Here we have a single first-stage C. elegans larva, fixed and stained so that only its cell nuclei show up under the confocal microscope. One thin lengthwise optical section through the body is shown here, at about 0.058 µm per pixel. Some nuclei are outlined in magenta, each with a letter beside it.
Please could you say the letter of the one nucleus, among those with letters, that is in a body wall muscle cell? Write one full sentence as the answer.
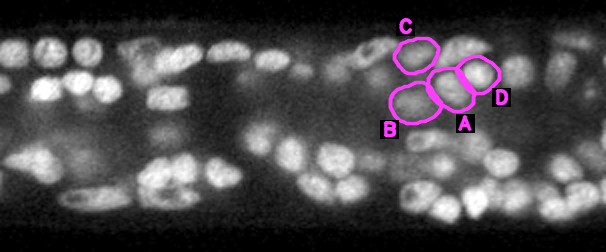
C is from a body wall muscle cell.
